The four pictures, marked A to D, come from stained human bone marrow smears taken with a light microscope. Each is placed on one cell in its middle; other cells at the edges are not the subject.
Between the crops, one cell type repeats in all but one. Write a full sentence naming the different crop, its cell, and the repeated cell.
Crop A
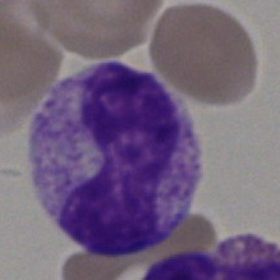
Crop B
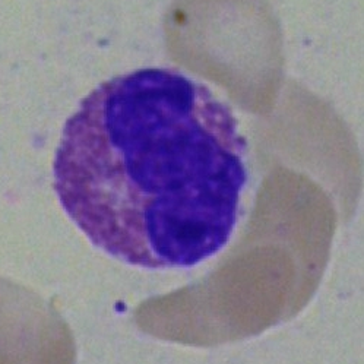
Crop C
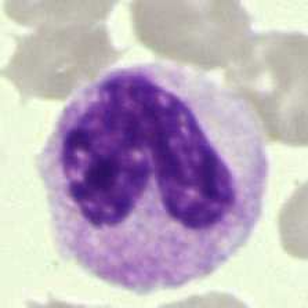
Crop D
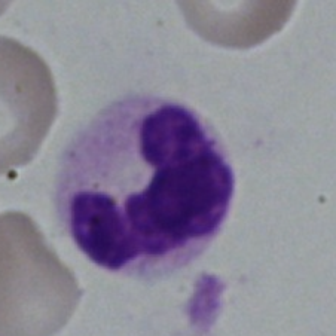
All of the other crops show band neutrophils; crop B, by contrast, is an eosinophil.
